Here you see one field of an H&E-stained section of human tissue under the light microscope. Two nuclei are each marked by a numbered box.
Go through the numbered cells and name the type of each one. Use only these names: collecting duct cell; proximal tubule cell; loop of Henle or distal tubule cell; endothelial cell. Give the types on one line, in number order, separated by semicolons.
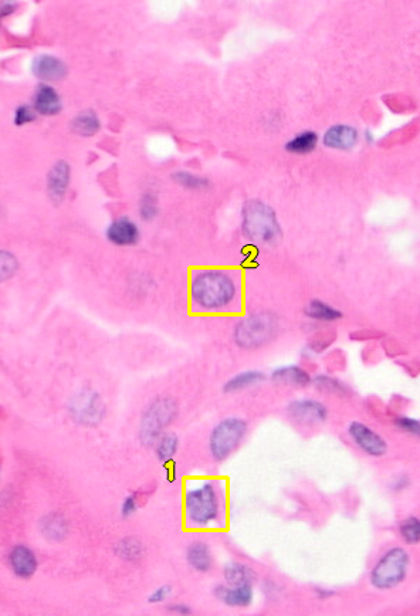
loop of Henle or distal tubule cell; proximal tubule cell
